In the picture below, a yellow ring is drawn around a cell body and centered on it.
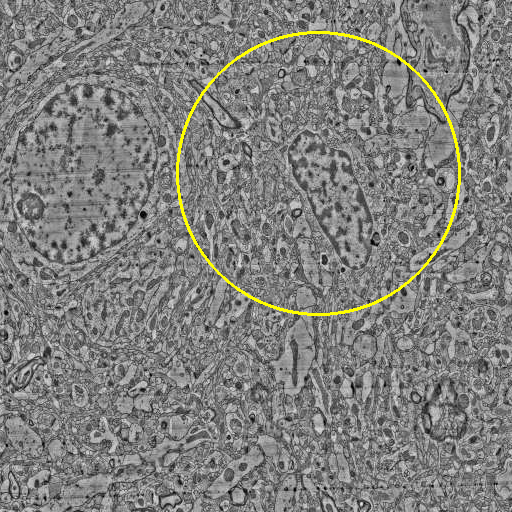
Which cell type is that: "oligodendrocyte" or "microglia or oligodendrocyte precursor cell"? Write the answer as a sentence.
The cell centered in the ring is a microglial cell or oligodendrocyte precursor cell.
